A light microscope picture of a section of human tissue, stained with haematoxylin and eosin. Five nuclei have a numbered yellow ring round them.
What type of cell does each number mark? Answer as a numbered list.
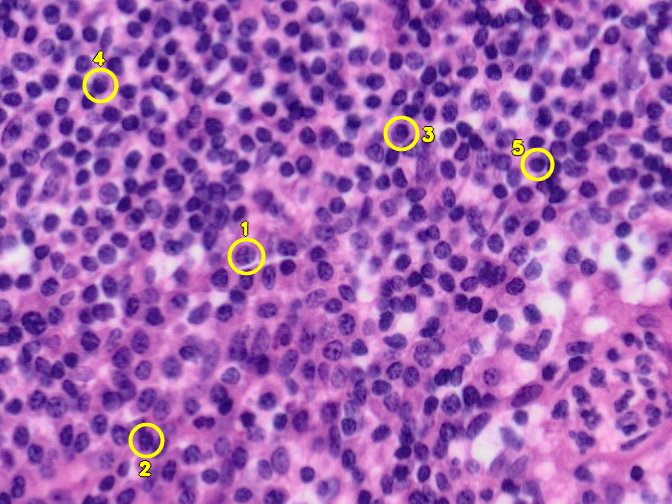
1. plasma cell
2. plasma cell
3. small lymphocyte
4. small lymphocyte
5. small lymphocyte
